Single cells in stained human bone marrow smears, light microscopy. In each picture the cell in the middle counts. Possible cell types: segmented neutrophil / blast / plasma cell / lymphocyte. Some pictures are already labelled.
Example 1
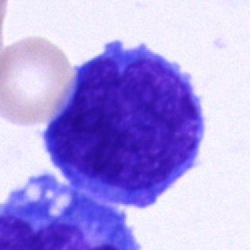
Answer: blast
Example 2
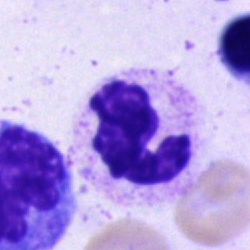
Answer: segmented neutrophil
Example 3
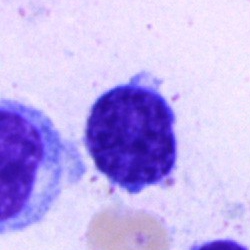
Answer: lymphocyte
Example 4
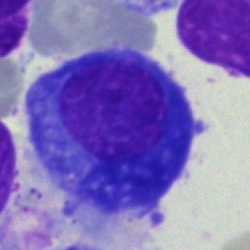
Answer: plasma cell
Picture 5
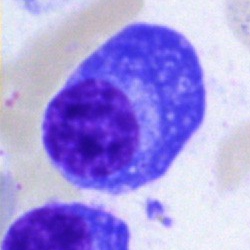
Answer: plasma cell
